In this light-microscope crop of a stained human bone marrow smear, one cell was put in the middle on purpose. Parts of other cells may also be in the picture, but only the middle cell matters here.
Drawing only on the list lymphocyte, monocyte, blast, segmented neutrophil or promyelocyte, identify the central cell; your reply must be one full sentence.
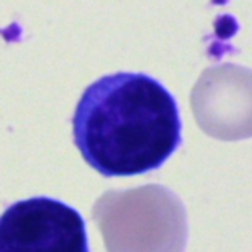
Looking at the middle of the crop, the cell there is a lymphocyte.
